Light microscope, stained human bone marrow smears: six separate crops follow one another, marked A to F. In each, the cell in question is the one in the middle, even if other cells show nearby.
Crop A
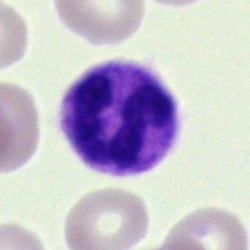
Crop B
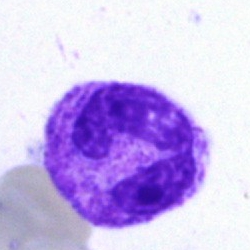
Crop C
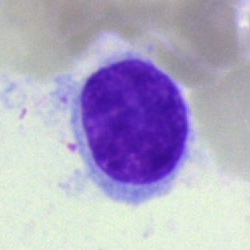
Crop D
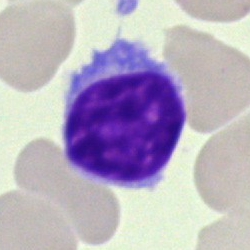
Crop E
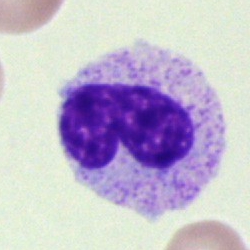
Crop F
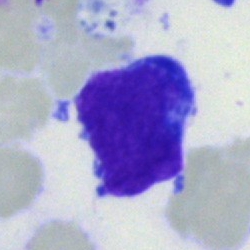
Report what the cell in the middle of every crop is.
A: segmented neutrophil
B: segmented neutrophil
C: hairy cell
D: lymphocyte
E: metamyelocyte
F: blast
